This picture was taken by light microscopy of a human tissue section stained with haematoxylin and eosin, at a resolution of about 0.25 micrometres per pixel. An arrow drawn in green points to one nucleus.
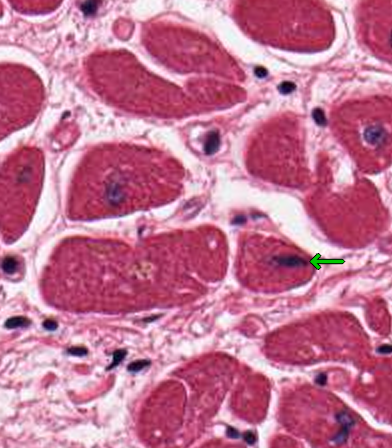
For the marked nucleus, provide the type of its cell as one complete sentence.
Within the picture, the marked nucleus belongs to a cardiomyocyte.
